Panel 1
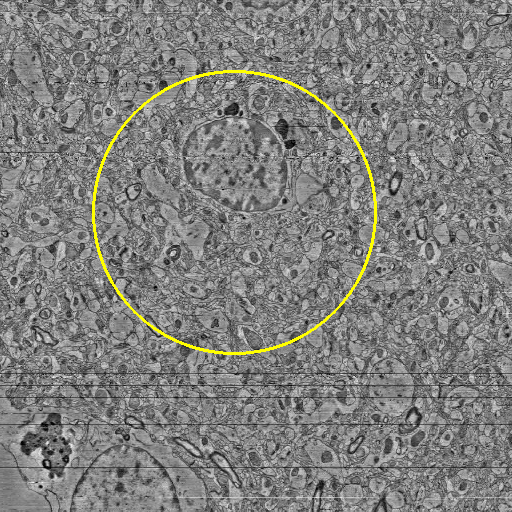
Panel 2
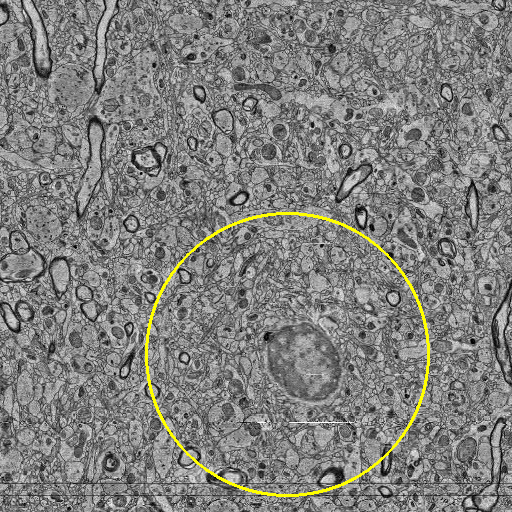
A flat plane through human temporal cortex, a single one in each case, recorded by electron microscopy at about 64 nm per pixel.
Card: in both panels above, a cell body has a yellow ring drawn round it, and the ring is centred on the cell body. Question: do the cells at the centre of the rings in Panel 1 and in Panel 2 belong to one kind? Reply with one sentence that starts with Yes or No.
No, the cells centred in the rings of Panel 1 and Panel 2 are two kinds of cell.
